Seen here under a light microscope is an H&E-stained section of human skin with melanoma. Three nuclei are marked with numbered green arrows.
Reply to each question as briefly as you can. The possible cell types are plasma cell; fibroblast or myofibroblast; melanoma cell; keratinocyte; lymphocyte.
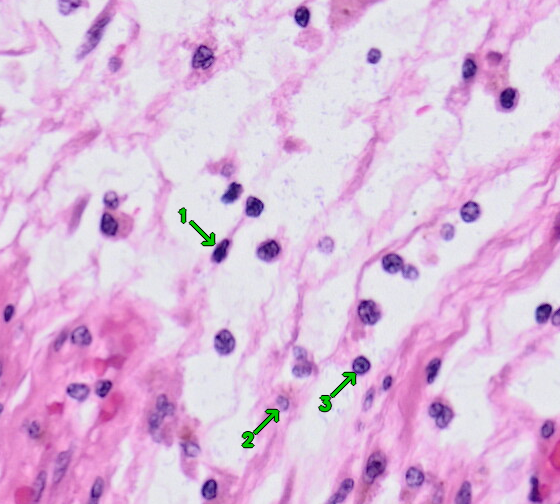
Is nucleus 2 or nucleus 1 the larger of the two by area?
1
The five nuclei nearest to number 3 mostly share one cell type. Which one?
lymphocyte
